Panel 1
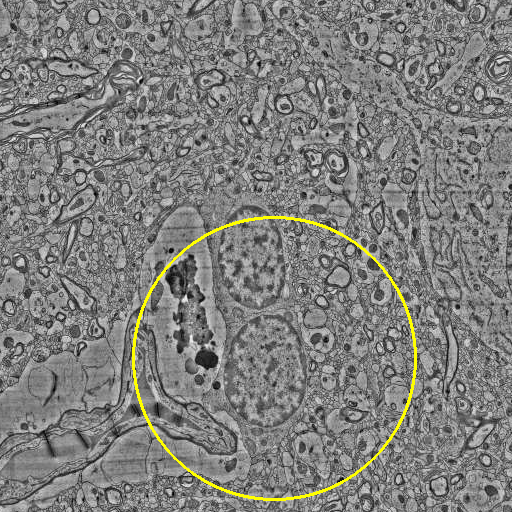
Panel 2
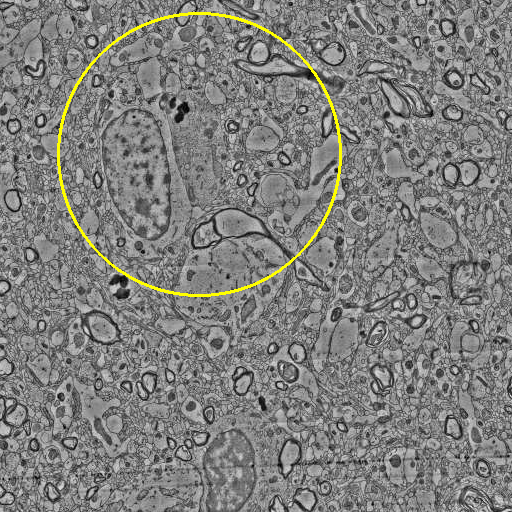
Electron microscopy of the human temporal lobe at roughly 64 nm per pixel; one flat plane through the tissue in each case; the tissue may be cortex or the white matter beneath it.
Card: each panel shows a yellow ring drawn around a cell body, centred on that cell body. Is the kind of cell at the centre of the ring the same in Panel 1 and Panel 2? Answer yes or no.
yes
